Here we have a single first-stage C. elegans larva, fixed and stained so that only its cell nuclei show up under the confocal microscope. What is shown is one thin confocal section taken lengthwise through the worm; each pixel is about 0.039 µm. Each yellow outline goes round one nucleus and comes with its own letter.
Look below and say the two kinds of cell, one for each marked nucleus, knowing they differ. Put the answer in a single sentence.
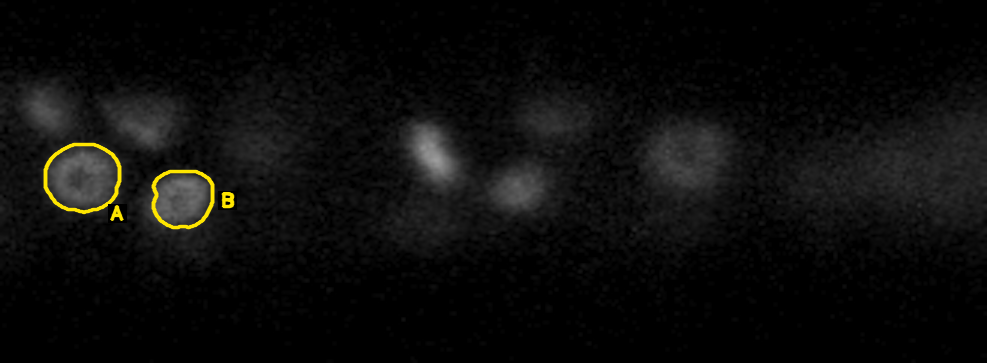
A belongs to a seam cell and B to a P cell (ventral epidermal blast cell).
